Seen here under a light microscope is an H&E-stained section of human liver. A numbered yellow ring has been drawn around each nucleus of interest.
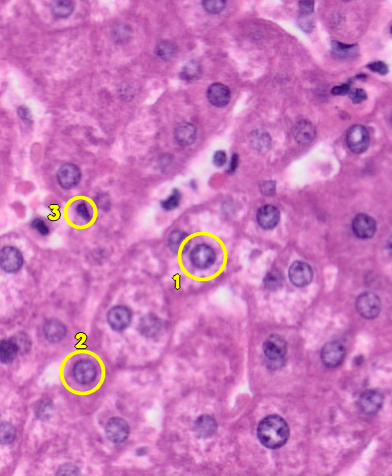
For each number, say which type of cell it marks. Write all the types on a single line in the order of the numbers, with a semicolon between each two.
hepatocyte; hepatocyte; fibroblast or stellate cell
